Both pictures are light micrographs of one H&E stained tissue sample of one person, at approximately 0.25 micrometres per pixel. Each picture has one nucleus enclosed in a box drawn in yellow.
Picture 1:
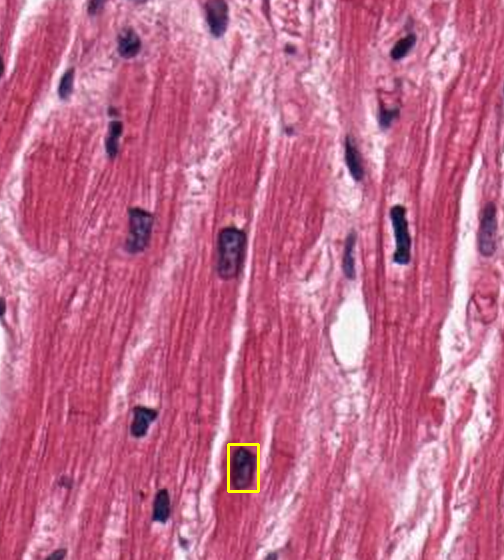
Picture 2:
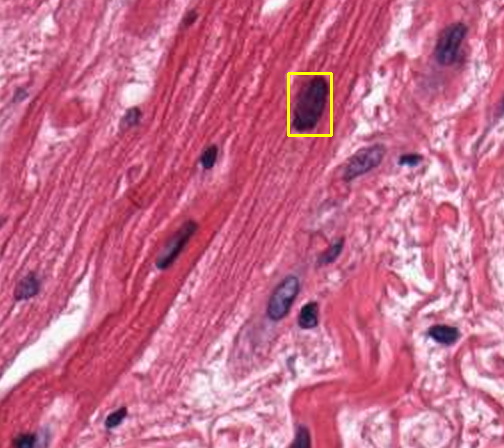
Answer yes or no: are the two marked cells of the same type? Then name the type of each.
Yes, both are cardiomyocytes.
